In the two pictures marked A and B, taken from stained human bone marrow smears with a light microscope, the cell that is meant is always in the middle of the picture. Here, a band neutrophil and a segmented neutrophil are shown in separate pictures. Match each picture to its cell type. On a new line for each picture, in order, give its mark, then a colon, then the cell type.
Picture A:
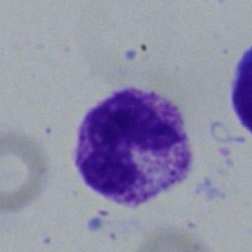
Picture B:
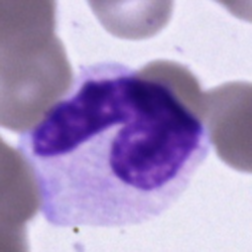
A: segmented neutrophil
B: band neutrophil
